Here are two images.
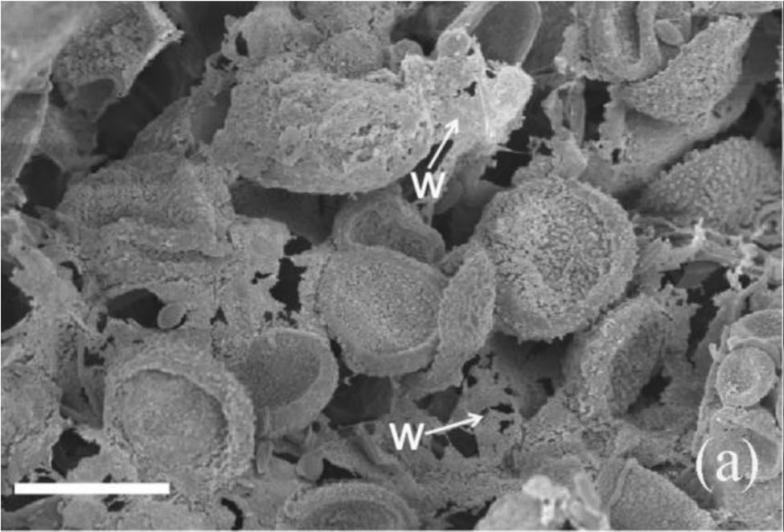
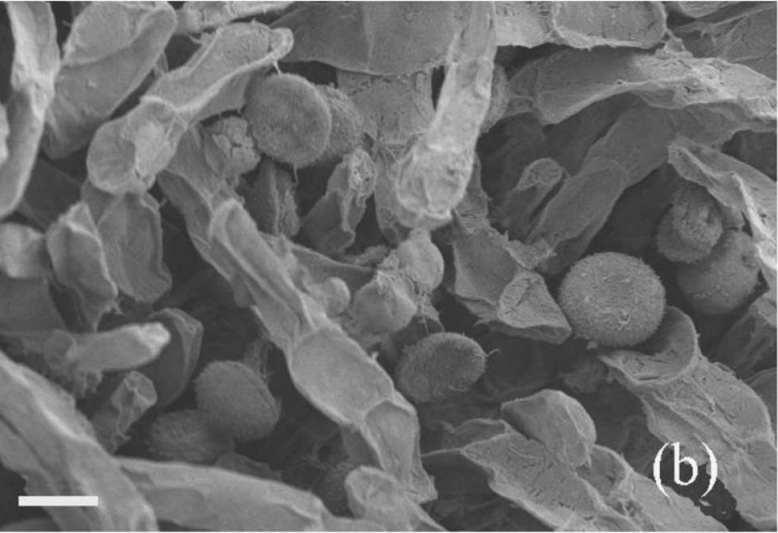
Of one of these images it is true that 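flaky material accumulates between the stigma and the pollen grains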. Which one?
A: The first image.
